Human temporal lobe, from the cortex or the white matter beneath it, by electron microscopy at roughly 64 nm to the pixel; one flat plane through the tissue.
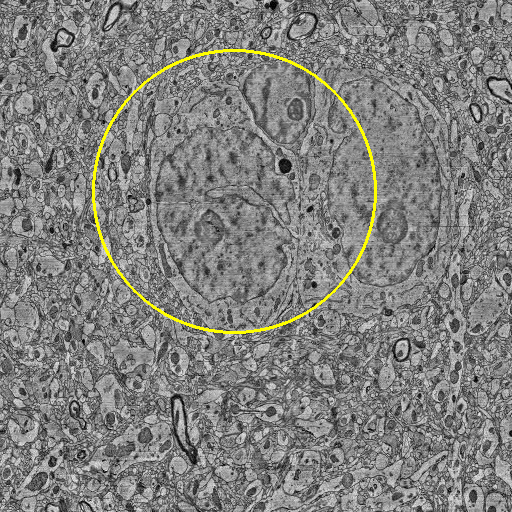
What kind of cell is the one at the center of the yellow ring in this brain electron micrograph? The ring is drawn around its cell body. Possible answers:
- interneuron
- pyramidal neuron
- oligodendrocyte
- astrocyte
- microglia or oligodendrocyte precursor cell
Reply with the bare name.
interneuron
